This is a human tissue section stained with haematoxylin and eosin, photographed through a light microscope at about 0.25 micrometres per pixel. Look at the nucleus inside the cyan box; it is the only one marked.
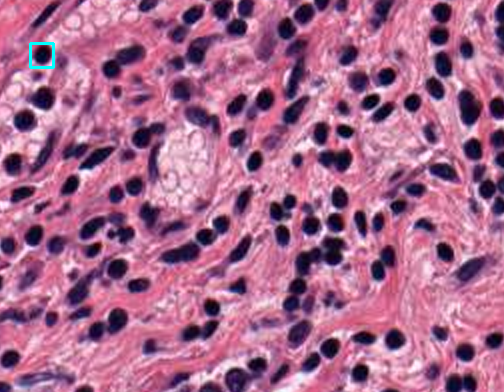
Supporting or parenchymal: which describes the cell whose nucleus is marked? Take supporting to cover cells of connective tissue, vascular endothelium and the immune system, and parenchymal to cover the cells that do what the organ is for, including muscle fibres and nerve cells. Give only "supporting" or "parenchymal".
supporting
